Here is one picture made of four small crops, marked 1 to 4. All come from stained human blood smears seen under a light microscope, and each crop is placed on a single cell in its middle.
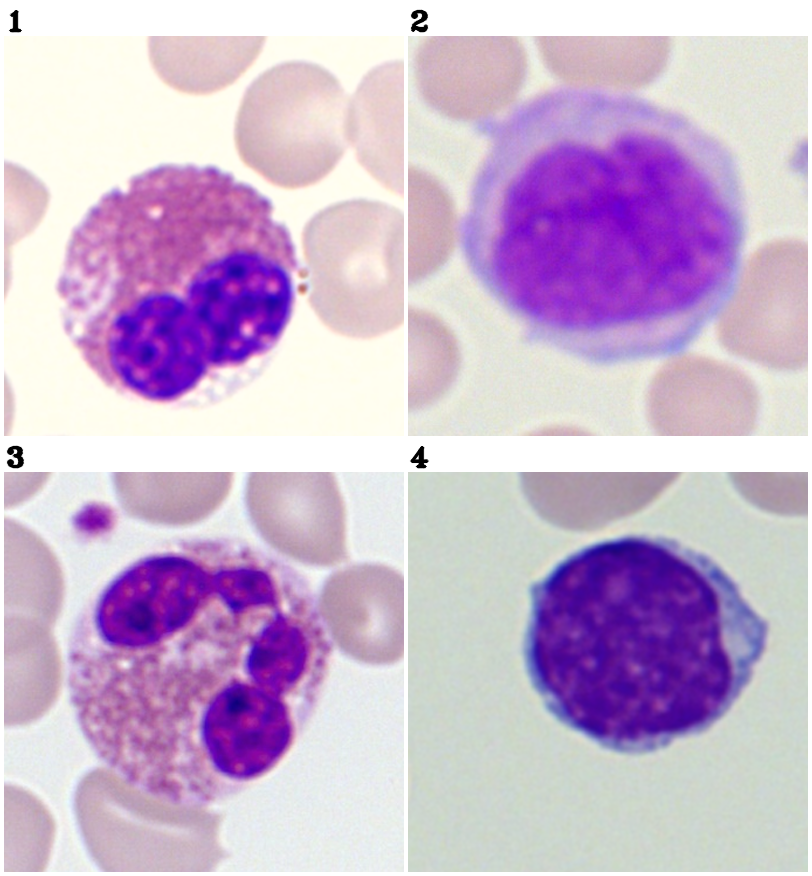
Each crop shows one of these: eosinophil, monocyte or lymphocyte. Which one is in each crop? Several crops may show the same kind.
1: eosinophil
2: monocyte
3: eosinophil
4: lymphocyte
